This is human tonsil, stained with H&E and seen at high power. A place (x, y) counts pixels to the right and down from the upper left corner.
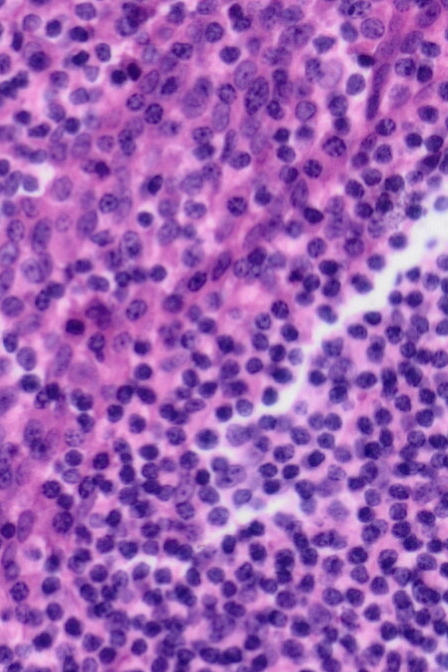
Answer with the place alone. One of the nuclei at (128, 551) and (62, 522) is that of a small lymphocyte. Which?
(128, 551)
